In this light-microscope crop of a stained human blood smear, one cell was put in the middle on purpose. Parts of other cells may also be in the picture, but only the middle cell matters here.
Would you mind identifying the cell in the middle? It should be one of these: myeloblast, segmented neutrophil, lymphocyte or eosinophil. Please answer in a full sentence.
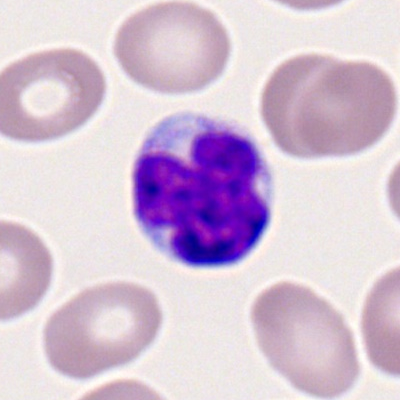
Of the cells in this crop, the central one is a lymphocyte.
